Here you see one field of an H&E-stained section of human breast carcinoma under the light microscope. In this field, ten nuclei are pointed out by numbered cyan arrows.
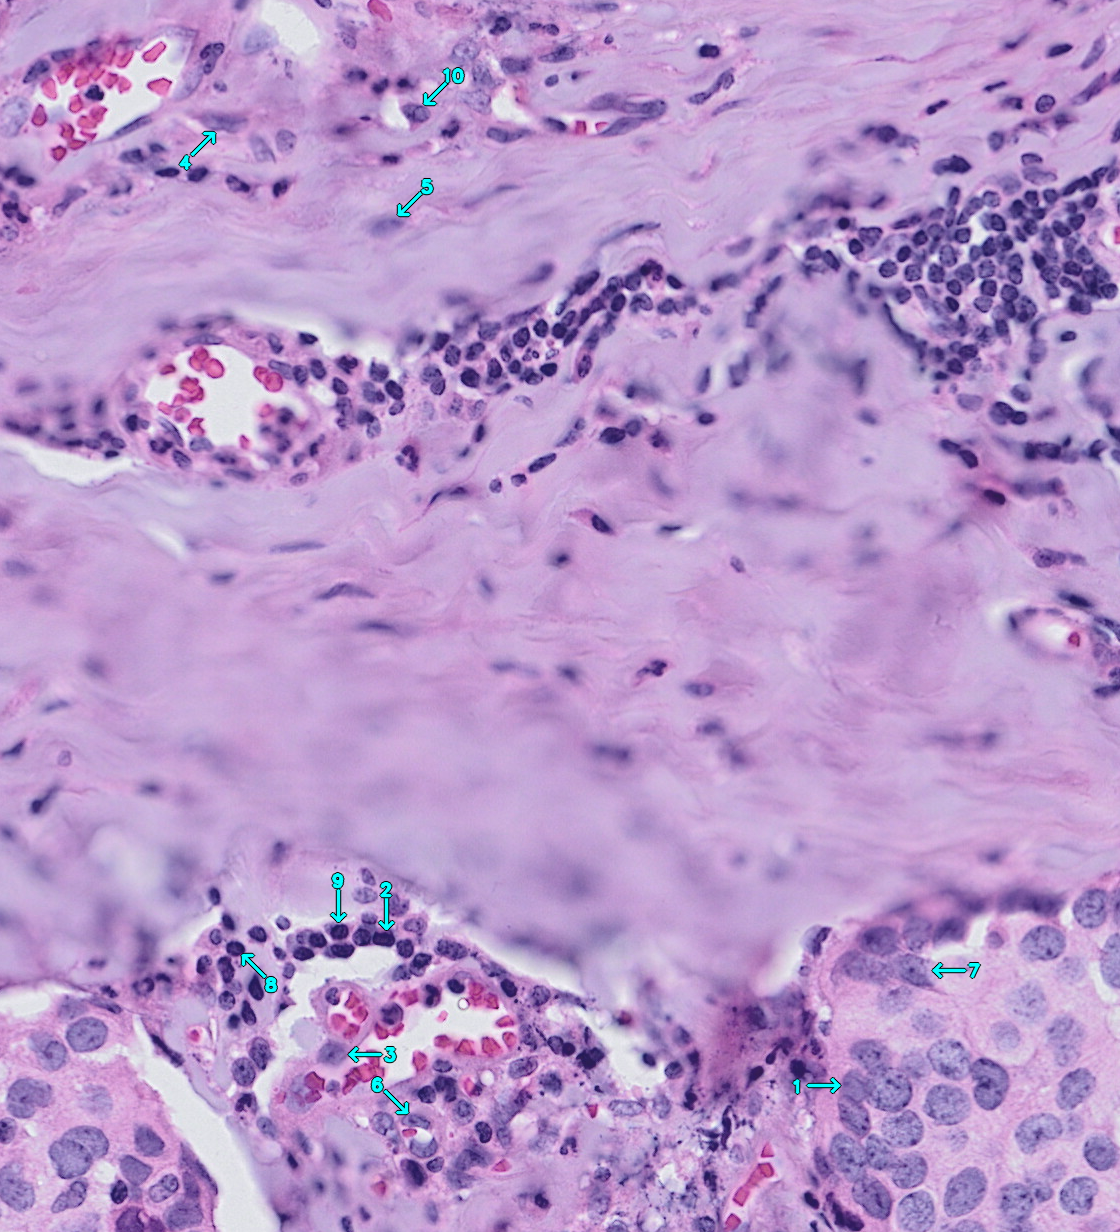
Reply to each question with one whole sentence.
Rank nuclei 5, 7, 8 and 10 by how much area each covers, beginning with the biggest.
By area, largest first, they run 7, 5, 10, 8.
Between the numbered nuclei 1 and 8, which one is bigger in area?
The larger nucleus is 1, at roughly 2 times the area of 8.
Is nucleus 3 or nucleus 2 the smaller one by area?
With nucleus 3 about 2 times its size, nucleus 2 is the smaller of the two.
